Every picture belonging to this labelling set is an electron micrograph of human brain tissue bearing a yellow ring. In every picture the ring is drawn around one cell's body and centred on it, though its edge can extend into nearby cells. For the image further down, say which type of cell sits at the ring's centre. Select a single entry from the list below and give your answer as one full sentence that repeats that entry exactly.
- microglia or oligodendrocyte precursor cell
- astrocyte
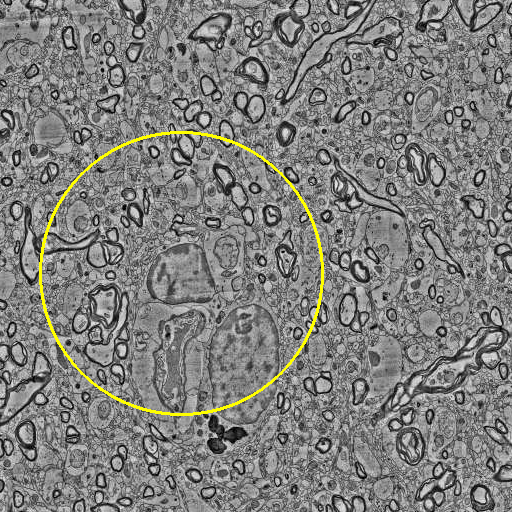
In the picture, a microglial cell or oligodendrocyte precursor cell is the cell at the centre of the yellow ring.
